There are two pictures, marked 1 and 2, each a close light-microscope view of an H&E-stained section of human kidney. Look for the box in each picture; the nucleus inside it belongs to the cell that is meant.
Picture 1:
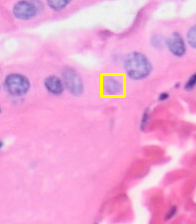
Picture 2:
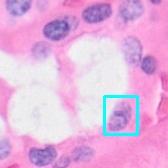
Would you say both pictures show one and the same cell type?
yes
